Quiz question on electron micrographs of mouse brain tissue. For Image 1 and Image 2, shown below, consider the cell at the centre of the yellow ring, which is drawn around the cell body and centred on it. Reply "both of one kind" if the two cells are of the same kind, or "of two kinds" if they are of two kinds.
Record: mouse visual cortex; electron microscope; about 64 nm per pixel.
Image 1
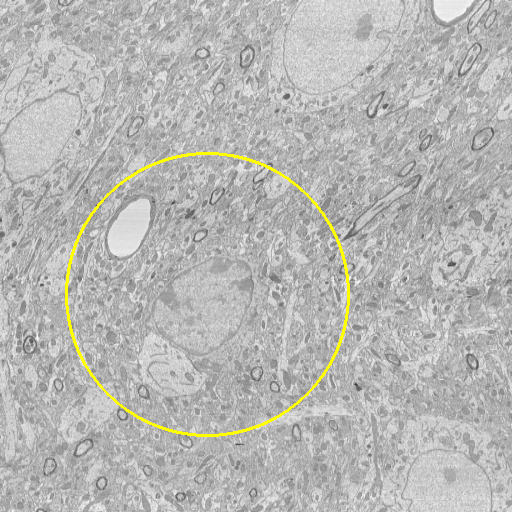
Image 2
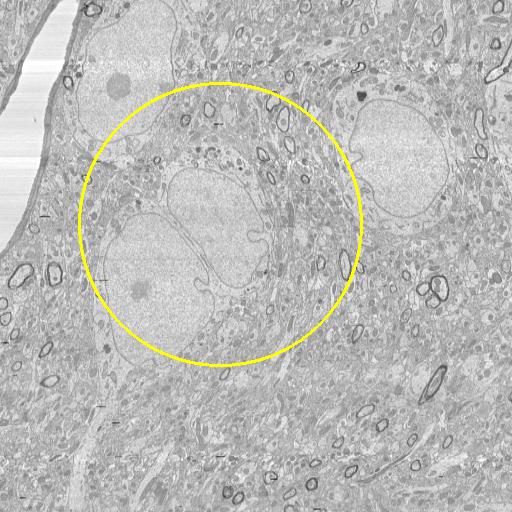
of two kinds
